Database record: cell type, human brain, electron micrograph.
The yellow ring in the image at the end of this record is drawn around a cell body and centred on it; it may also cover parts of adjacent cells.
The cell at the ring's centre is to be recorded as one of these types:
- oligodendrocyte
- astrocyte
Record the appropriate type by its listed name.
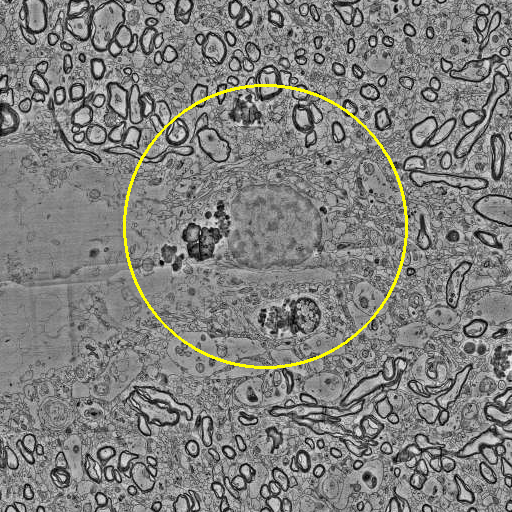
oligodendrocyte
